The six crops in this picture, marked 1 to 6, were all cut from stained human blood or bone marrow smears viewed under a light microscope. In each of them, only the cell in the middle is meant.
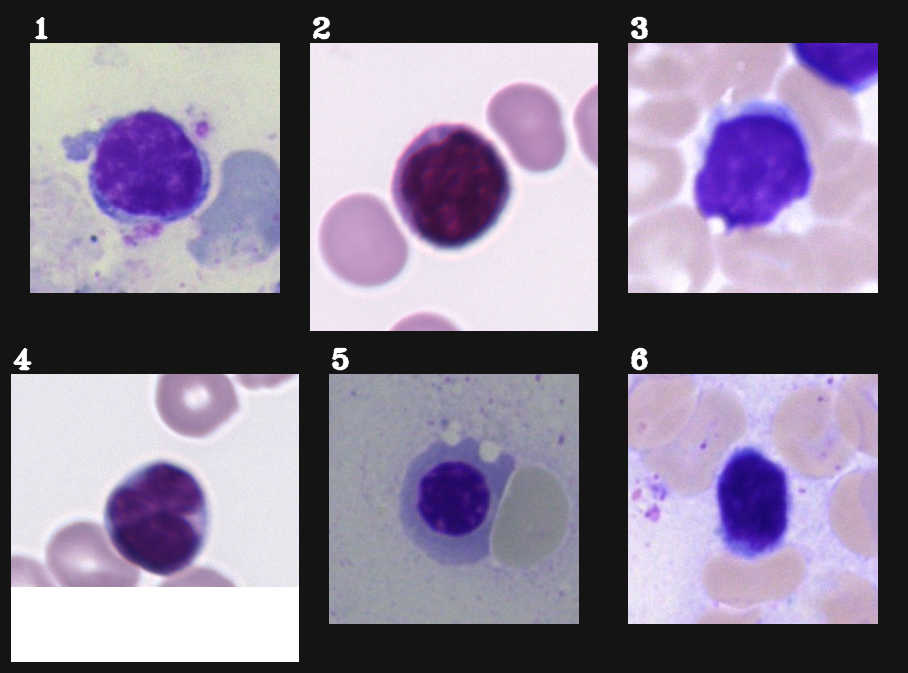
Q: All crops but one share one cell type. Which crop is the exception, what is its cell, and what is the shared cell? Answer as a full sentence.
In this set, all crops show lymphocytes apart from crop 5, which is an erythroblast.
